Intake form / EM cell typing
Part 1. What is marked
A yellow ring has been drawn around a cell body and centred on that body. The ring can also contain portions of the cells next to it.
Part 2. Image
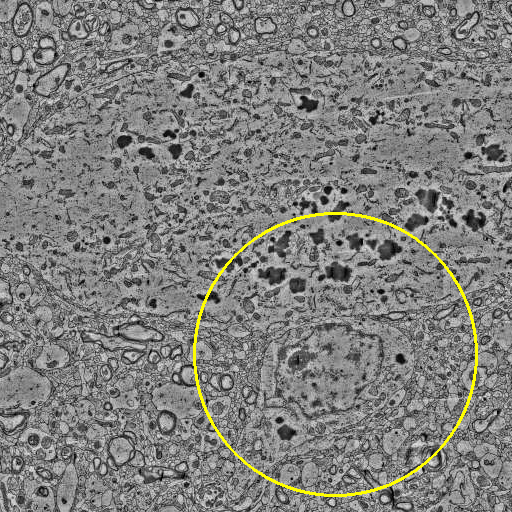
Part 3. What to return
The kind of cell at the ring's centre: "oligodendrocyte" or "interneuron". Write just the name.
interneuron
